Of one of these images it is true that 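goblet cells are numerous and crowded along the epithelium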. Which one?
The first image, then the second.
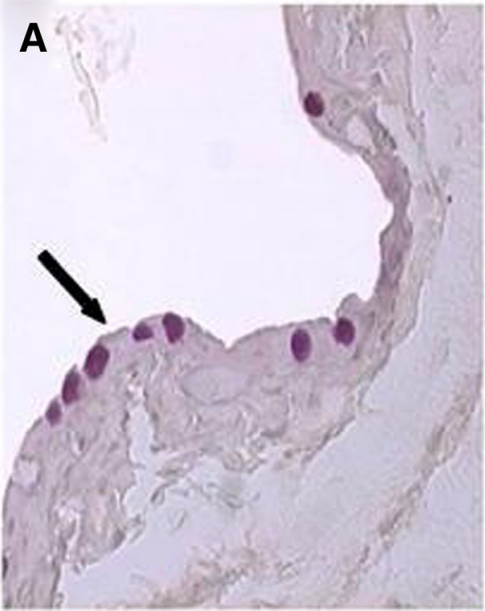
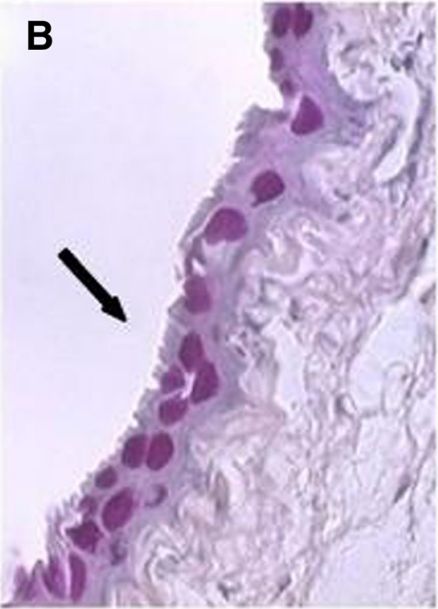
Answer: The second image.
